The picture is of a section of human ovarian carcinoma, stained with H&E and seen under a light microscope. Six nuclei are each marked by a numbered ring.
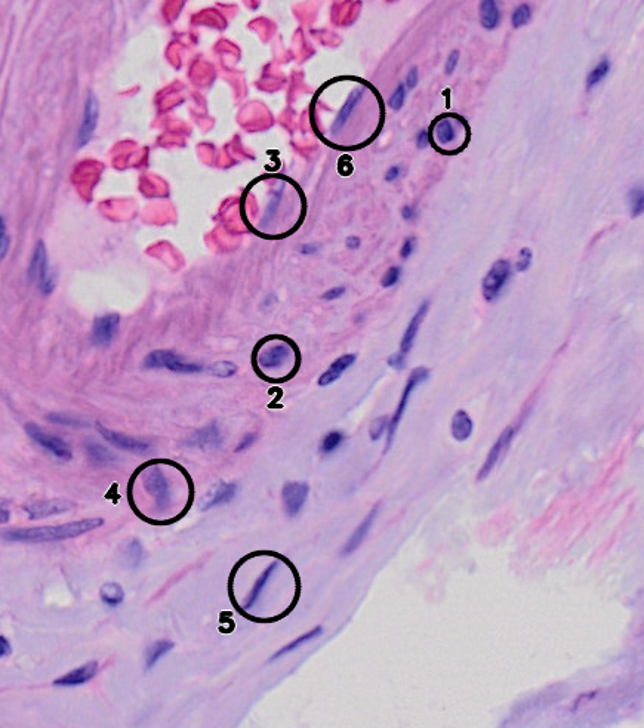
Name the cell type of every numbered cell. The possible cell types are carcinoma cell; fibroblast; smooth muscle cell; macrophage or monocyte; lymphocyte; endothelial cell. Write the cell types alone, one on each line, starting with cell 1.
smooth muscle cell
smooth muscle cell
endothelial cell
smooth muscle cell
fibroblast
endothelial cell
